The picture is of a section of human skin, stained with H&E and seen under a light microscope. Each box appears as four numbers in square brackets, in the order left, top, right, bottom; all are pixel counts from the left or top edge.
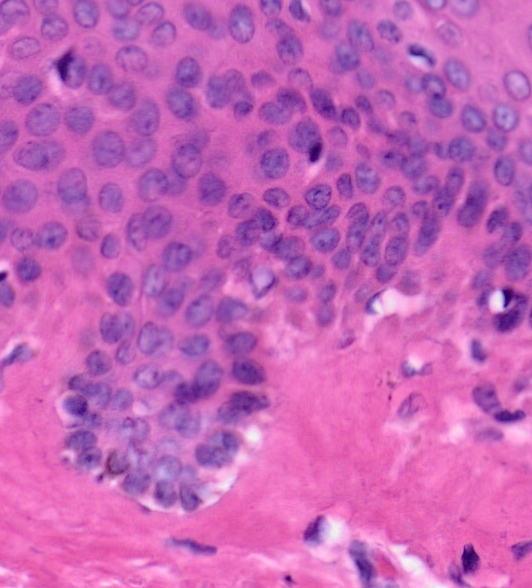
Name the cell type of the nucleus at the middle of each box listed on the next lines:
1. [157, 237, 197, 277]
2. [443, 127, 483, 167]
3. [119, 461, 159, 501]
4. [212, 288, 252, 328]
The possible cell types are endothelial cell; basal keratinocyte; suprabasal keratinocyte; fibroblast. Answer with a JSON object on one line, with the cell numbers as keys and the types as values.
{"1": "suprabasal keratinocyte", "2": "suprabasal keratinocyte", "3": "basal keratinocyte", "4": "basal keratinocyte"}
